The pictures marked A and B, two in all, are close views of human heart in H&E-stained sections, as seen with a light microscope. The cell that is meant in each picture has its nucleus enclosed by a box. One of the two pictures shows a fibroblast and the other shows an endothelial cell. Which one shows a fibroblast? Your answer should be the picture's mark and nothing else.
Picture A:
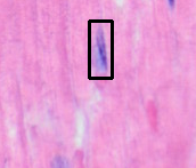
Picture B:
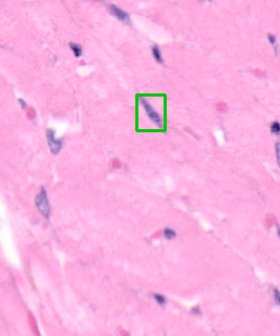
B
